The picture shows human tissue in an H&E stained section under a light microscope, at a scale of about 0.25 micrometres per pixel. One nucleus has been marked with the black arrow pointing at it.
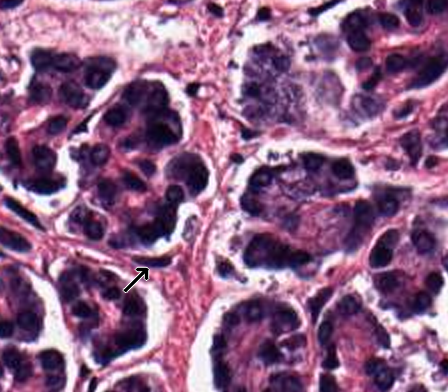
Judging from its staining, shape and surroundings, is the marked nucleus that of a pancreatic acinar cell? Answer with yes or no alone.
no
